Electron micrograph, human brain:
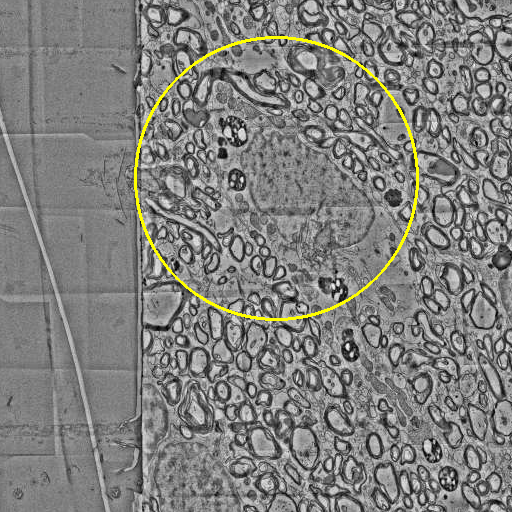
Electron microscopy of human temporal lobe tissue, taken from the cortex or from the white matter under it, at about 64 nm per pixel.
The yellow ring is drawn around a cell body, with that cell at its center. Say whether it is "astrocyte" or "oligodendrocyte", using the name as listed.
astrocyte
